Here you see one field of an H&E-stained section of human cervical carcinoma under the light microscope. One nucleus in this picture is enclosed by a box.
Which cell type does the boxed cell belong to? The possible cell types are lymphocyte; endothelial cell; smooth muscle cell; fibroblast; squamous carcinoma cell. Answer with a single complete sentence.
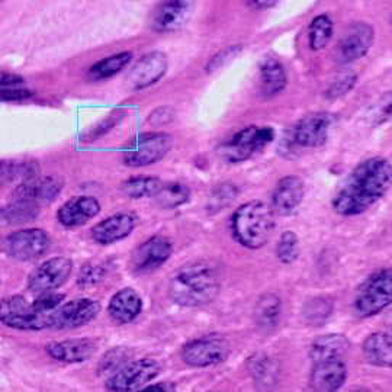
This is a squamous carcinoma cell.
